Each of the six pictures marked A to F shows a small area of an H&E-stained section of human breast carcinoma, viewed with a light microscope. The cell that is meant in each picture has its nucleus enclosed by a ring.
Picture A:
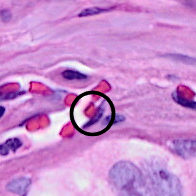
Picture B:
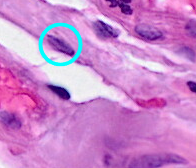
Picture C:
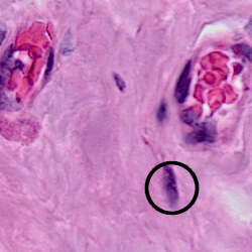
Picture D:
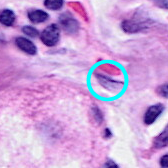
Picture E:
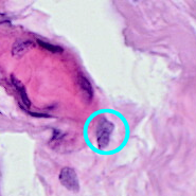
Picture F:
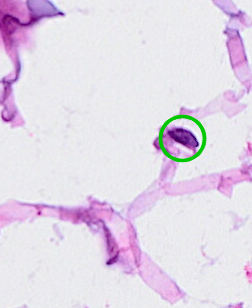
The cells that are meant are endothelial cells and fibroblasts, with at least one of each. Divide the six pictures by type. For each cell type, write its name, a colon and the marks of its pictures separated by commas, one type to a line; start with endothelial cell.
endothelial cell: A, D
fibroblast: B, C, E, F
